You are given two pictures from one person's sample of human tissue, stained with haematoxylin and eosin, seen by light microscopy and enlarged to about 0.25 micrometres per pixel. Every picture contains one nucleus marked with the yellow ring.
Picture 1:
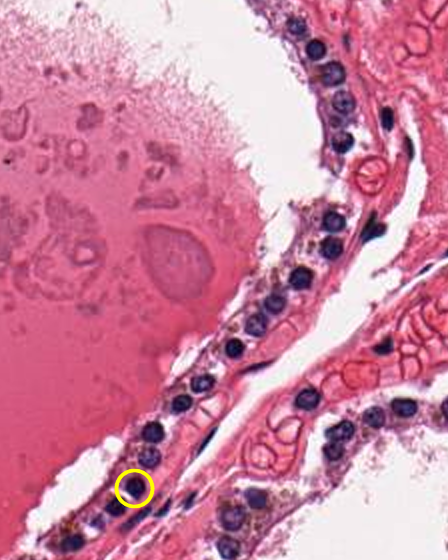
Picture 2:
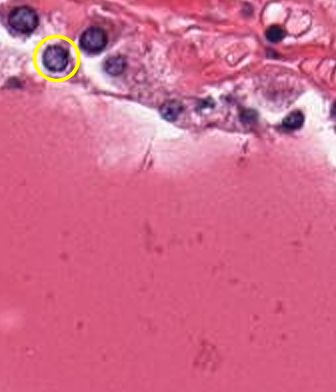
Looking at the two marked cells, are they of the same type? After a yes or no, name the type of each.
Yes, both are thyroid follicular cells.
